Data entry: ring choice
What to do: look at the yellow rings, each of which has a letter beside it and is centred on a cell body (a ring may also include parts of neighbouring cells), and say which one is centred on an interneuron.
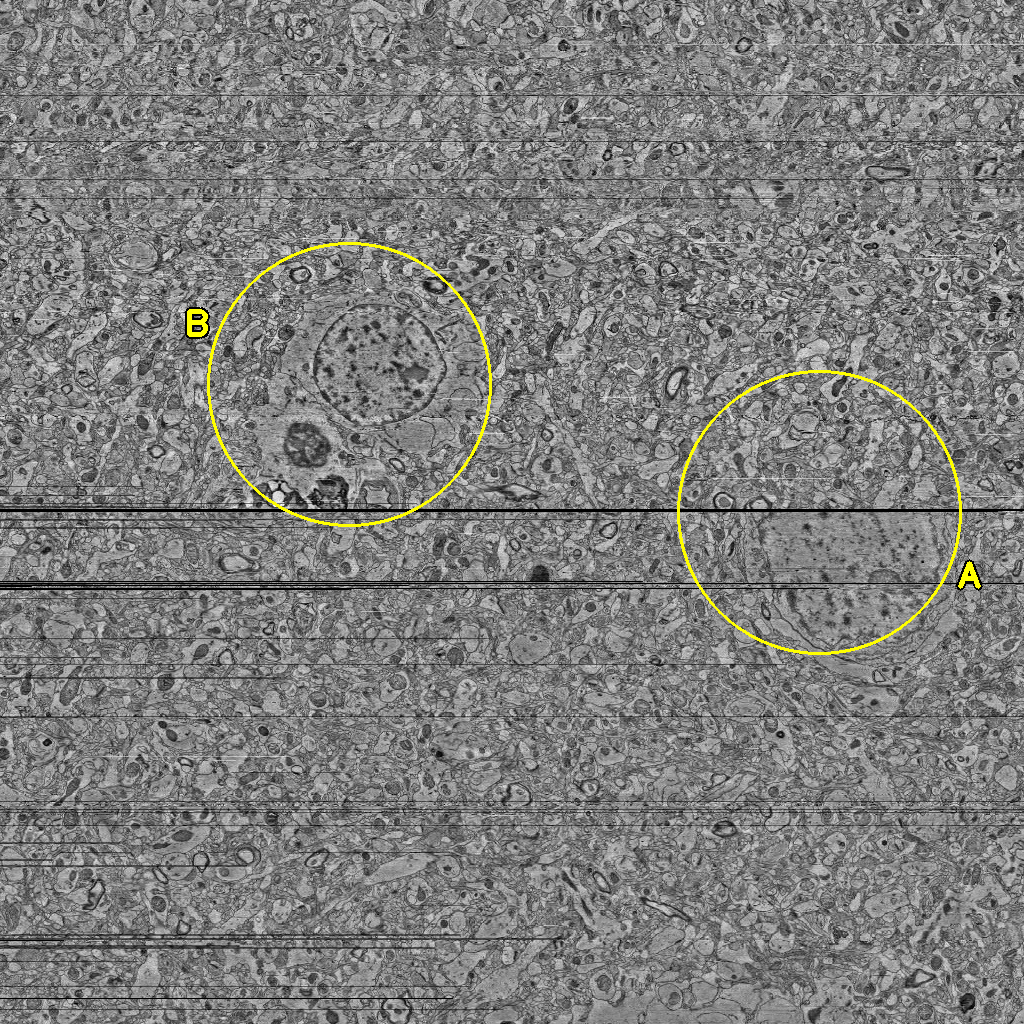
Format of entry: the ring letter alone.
A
